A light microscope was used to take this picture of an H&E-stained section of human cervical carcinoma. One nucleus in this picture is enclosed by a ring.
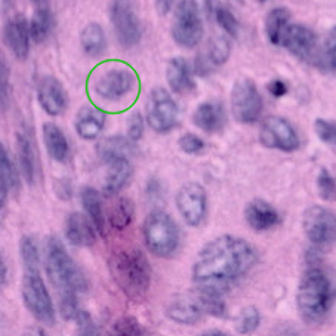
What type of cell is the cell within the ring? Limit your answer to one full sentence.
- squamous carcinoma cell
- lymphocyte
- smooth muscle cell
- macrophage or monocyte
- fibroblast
As to its cell type, the cell within the ring is a squamous carcinoma cell.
